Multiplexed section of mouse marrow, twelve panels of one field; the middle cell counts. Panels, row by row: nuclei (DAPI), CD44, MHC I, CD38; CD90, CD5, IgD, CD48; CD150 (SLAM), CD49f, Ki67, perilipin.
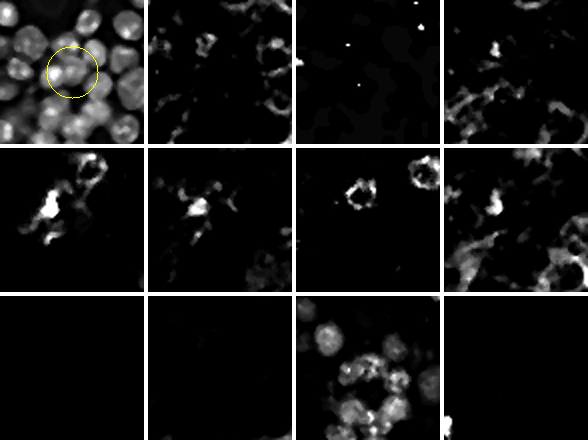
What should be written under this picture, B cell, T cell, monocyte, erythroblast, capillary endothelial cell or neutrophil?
erythroblast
